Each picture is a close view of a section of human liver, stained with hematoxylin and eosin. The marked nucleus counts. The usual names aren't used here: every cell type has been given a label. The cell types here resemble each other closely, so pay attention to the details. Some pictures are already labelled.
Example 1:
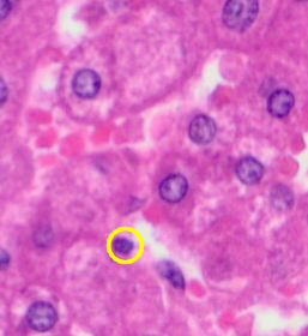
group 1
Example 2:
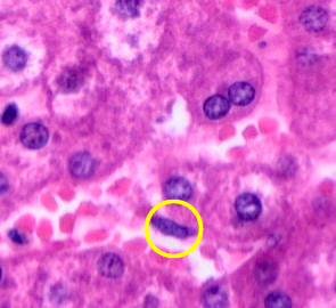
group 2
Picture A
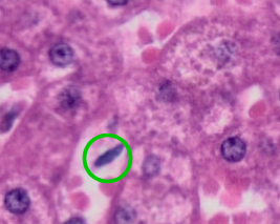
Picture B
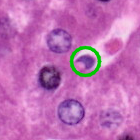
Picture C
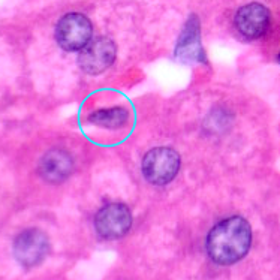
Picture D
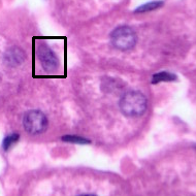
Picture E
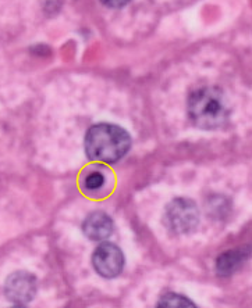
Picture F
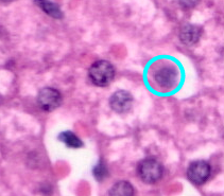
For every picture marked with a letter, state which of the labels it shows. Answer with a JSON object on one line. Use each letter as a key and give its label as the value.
{"A": "group 1", "B": "group 2", "C": "group 2", "D": "group 2", "E": "group 1", "F": "group 2"}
